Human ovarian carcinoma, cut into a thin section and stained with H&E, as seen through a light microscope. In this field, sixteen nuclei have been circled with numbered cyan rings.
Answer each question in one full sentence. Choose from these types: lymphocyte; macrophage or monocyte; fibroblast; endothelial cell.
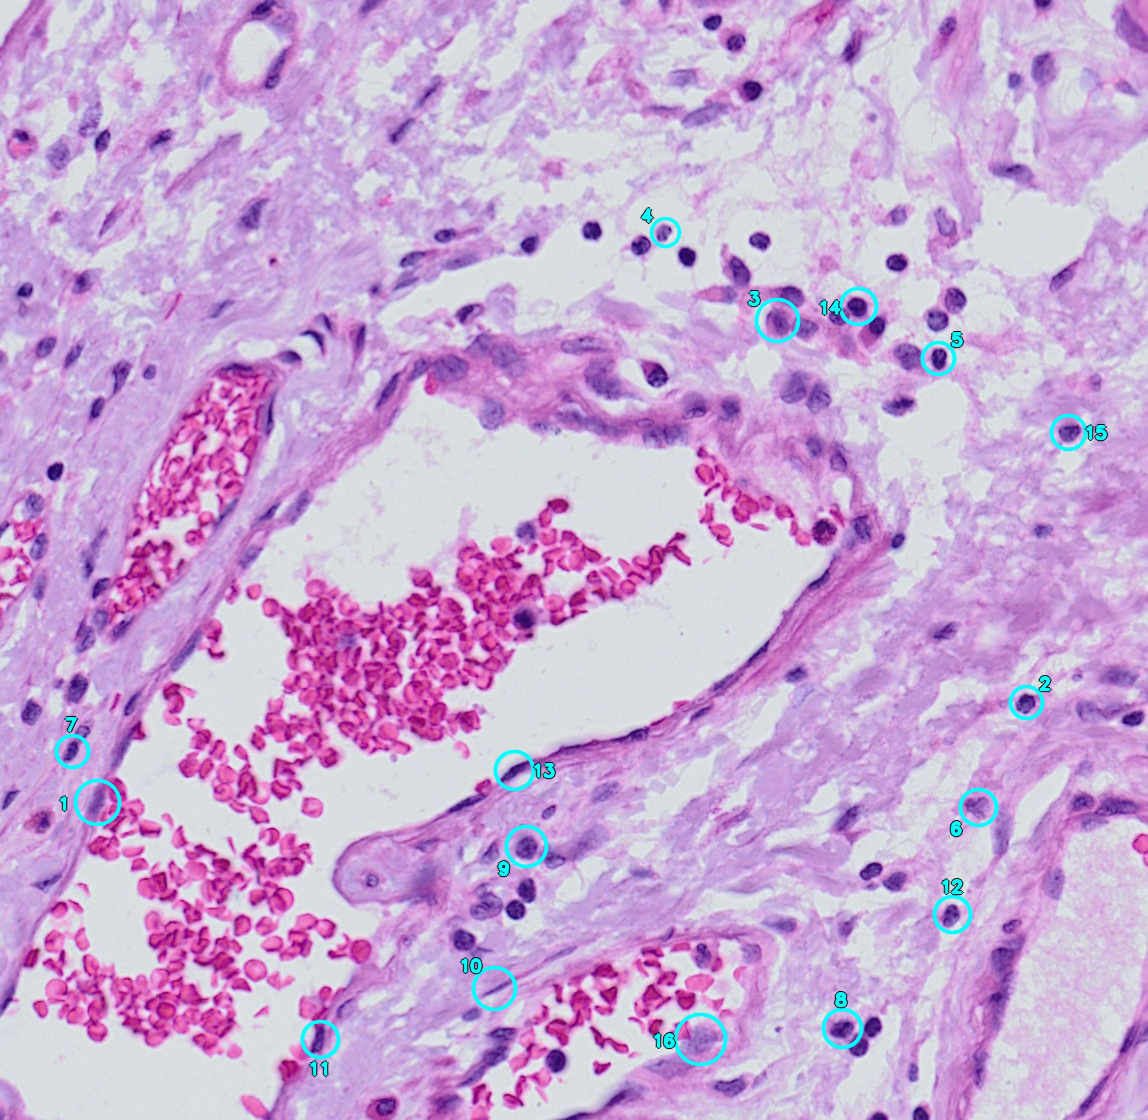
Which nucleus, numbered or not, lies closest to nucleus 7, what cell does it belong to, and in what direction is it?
The nearest one is a macrophage or monocyte, found above and to the right of nucleus 7.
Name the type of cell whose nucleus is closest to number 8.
Closest to number 8 lies the nucleus of a lymphocyte.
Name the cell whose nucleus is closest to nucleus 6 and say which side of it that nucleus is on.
A fibroblast lies closest, below and to the right of nucleus 6.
